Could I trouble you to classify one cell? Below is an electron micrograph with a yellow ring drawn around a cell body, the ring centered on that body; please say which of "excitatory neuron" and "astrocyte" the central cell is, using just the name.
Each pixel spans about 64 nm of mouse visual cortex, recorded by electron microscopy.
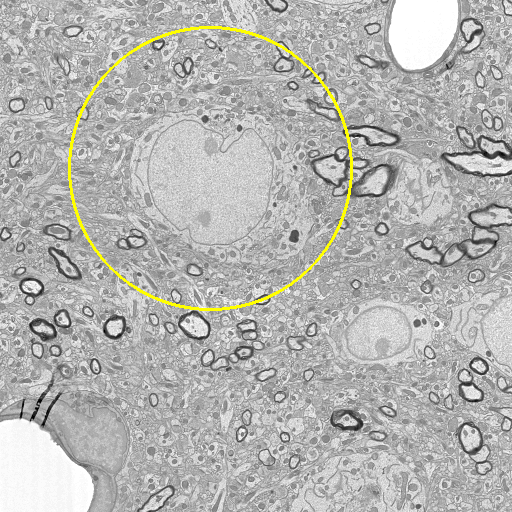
excitatory neuron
